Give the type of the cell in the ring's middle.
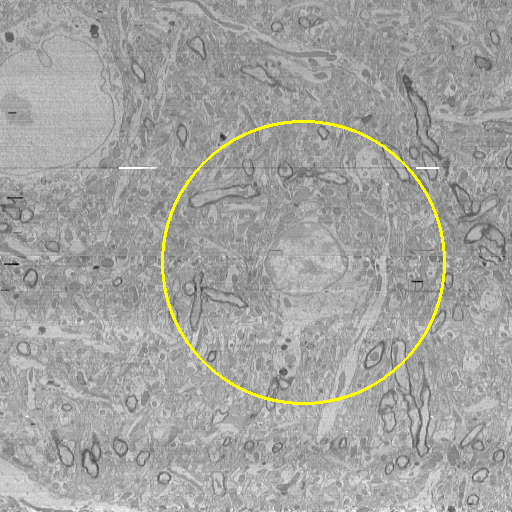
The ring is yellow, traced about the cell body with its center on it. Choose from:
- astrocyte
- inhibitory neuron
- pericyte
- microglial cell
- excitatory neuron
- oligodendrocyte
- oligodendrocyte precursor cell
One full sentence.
Here, an oligodendrocyte is the cell lying at the center of the yellow ring.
